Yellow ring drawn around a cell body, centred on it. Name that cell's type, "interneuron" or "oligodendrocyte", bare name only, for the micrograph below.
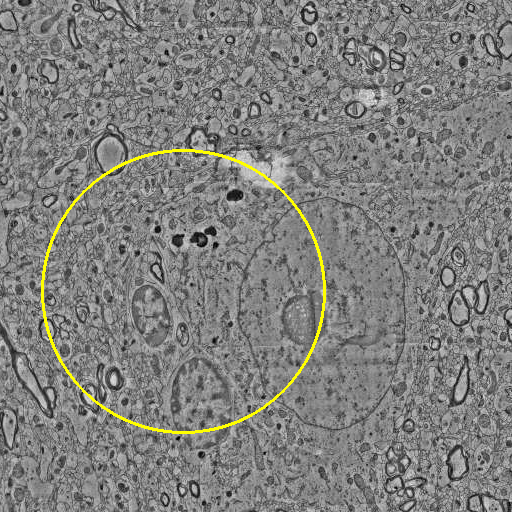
oligodendrocyte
